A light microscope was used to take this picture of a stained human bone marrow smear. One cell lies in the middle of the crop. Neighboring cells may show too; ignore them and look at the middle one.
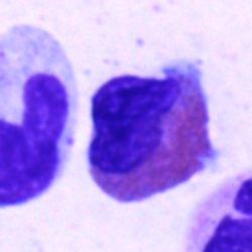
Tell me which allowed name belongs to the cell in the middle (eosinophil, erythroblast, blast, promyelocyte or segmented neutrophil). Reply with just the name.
eosinophil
